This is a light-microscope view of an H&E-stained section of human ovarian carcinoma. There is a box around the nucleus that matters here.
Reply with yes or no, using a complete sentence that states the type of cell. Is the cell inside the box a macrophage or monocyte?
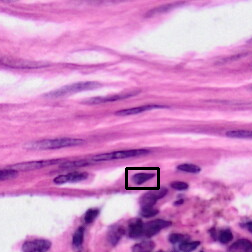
Yes, within this tissue section, the cell inside the box is a macrophage or monocyte.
